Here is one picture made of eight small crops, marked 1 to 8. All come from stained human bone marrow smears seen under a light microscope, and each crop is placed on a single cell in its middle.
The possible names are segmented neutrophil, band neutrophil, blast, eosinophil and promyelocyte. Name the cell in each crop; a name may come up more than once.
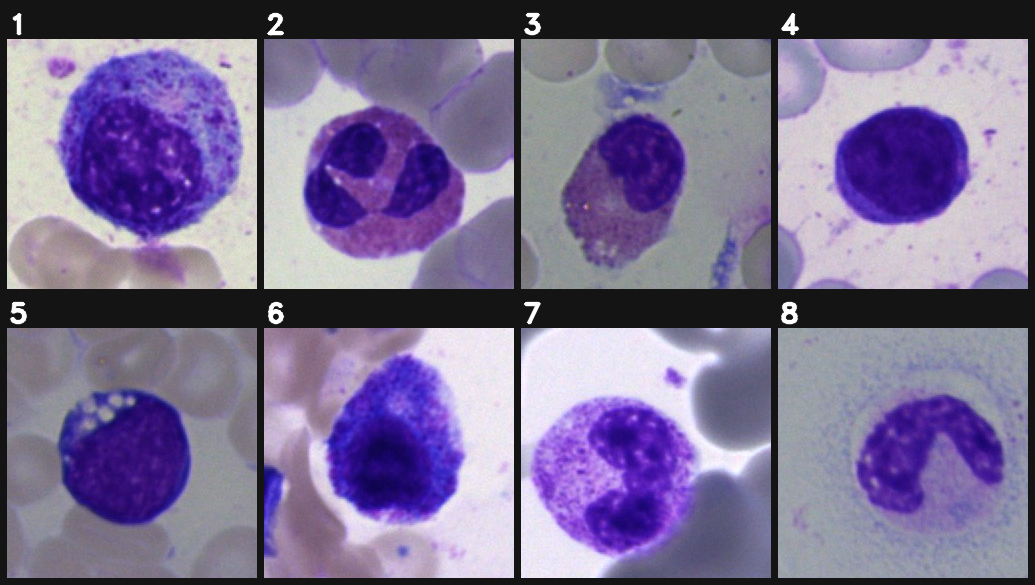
1: promyelocyte
2: eosinophil
3: eosinophil
4: blast
5: blast
6: promyelocyte
7: segmented neutrophil
8: band neutrophil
